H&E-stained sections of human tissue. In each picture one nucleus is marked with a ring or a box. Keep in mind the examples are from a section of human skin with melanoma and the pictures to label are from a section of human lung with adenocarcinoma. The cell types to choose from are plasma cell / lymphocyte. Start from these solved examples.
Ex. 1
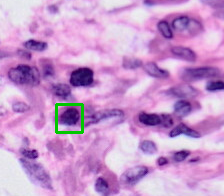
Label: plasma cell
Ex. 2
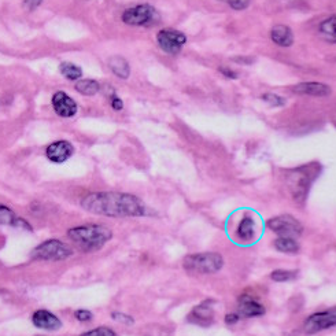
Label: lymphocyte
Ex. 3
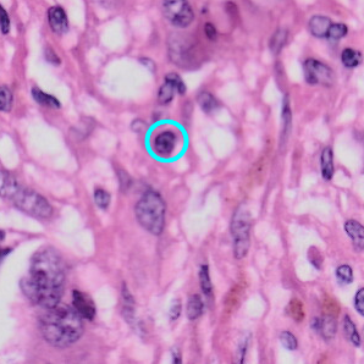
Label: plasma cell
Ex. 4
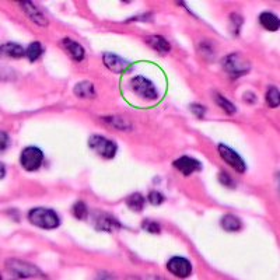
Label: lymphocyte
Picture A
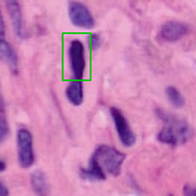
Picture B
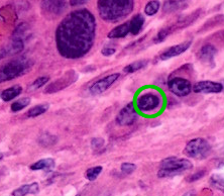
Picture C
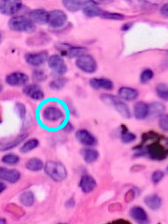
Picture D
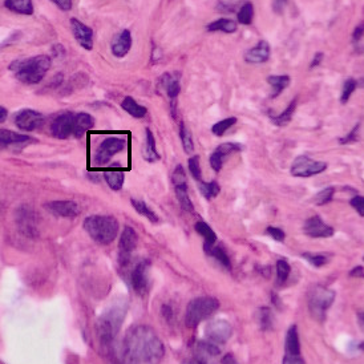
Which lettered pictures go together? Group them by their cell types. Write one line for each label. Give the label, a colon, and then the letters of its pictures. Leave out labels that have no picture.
plasma cell: B, D
lymphocyte: A, C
